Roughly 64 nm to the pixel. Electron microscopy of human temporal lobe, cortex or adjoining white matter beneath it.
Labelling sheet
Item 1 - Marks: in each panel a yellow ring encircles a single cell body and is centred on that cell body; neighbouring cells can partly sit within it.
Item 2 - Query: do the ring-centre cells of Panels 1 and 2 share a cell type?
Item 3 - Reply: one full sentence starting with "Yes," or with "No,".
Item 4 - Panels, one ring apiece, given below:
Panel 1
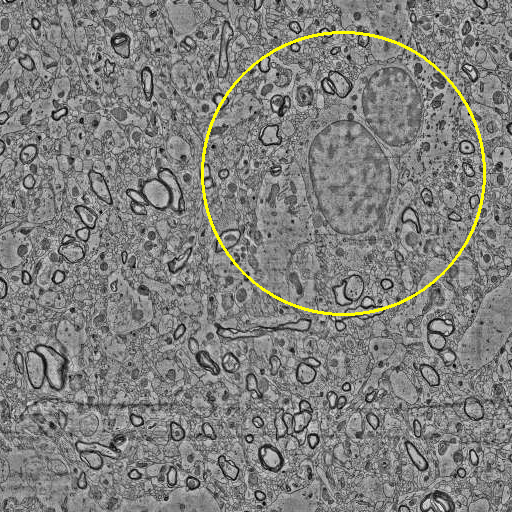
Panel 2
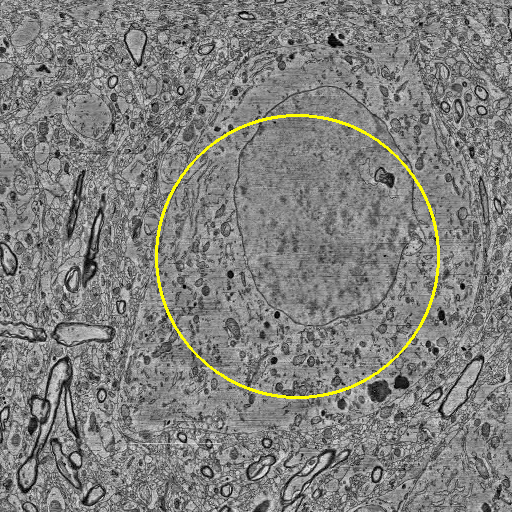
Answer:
No, Panel 1 and Panel 2 show two cell types at the centres of their rings.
